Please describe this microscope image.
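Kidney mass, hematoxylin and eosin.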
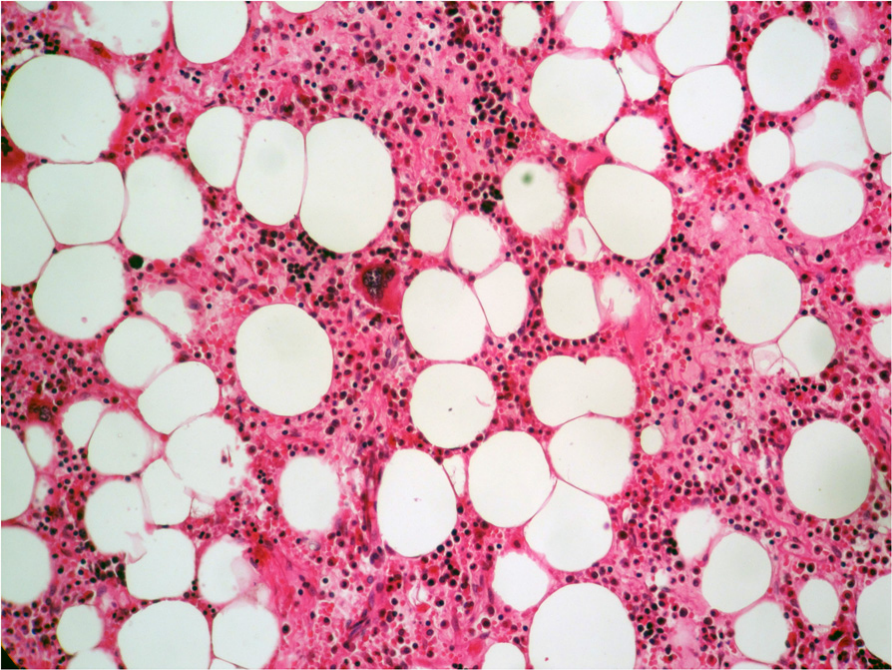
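This field shows mature fat cells intermingled with islands of blood-forming marrow-like tissue. The fat cells appear as large, clear, round to polygonal spaces of varying size, separated by thin membranes, with no visible central nuclei. Between them lie dense sheets of small round cells with dark purple nuclei set in a pink background, a mix of cells with very dark compact nuclei and others with paler nuclei. Scattered among these are a few giant cells with abundant pink cytoplasm and dense, lobulated dark nuclei, much larger than anything around them.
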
